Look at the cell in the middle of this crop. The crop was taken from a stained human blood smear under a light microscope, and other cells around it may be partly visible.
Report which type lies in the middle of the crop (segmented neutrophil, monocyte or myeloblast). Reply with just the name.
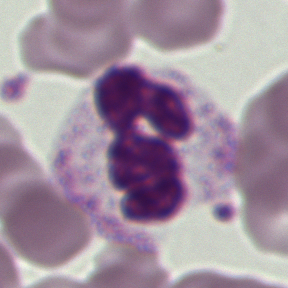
segmented neutrophil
